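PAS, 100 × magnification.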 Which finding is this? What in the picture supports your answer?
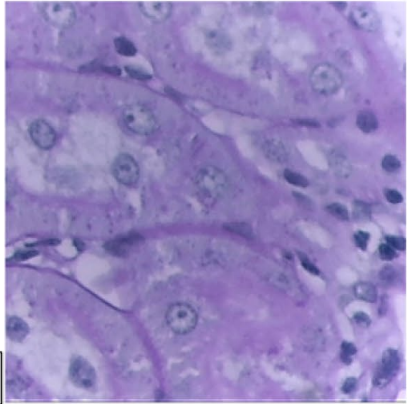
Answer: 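The cytoplasm of the tubule cells is pale and patchy with clear vacuoles. Cell interiors look foamy rather than evenly stained.
Conclusion: dystrophic changes in the cytoplasm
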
